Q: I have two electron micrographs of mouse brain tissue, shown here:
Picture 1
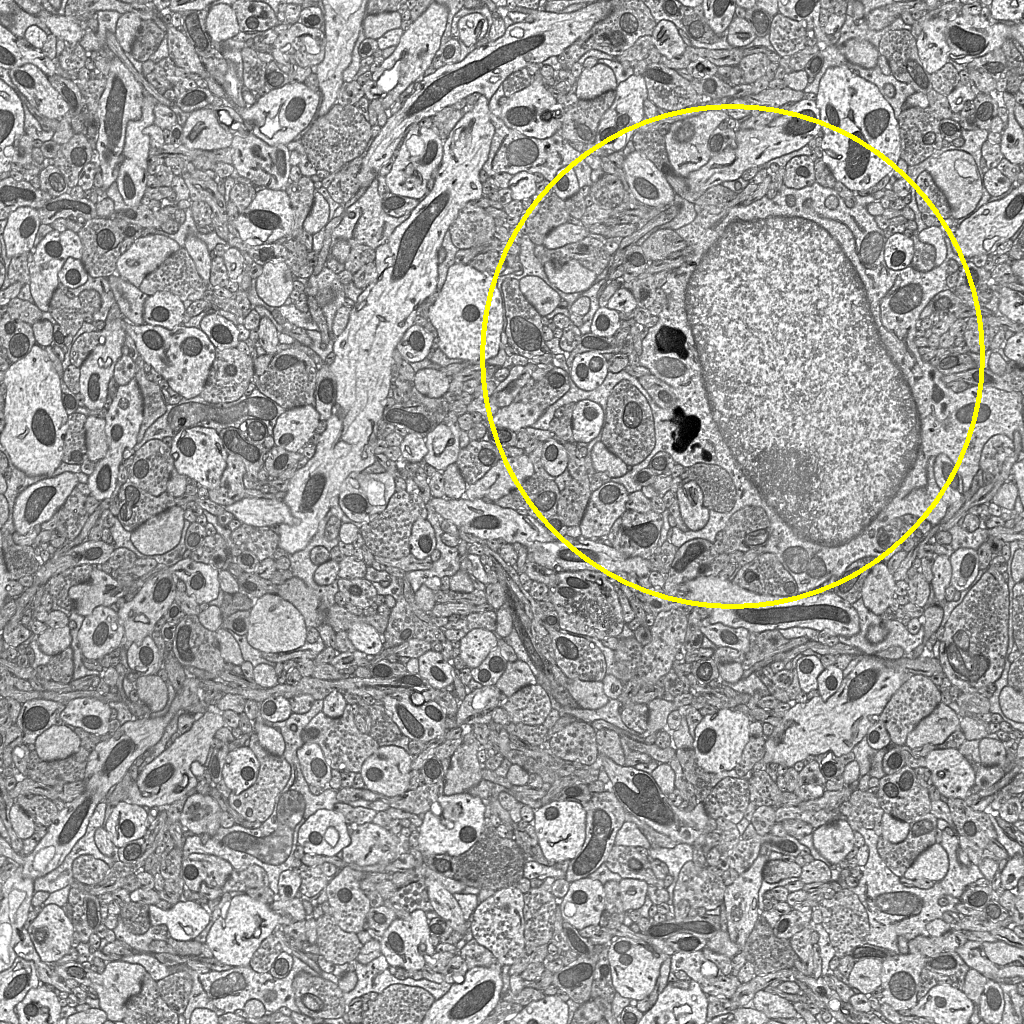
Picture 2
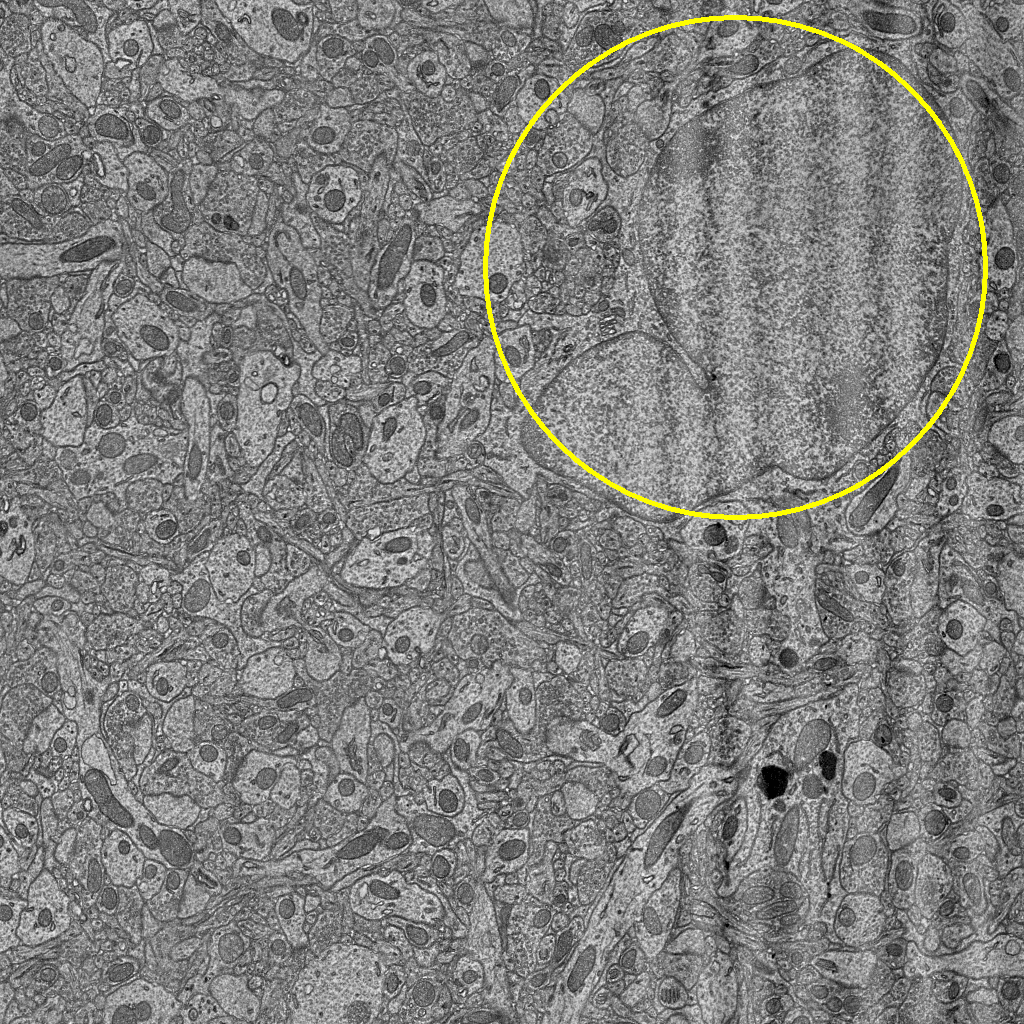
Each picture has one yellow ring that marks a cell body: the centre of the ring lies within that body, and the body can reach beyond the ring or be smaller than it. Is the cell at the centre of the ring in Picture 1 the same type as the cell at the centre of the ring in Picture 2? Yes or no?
yes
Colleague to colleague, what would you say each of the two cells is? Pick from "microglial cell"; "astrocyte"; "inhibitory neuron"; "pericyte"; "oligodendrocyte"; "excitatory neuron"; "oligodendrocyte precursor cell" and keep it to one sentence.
Each of the two rings surrounds an astrocyte.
